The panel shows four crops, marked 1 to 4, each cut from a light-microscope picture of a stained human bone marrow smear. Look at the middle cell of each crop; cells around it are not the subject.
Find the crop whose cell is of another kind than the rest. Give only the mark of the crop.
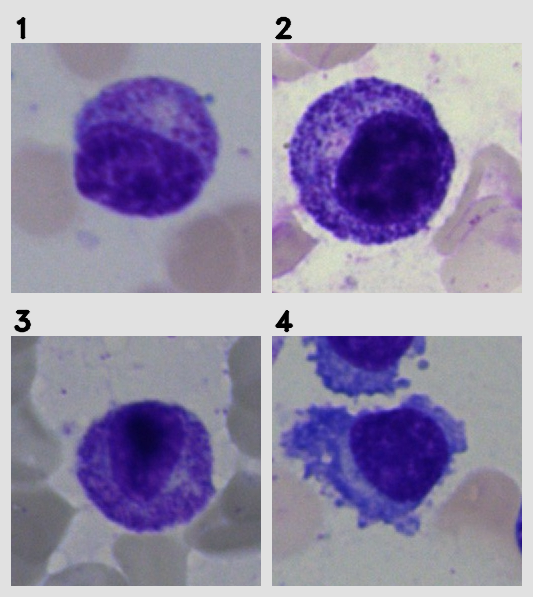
4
